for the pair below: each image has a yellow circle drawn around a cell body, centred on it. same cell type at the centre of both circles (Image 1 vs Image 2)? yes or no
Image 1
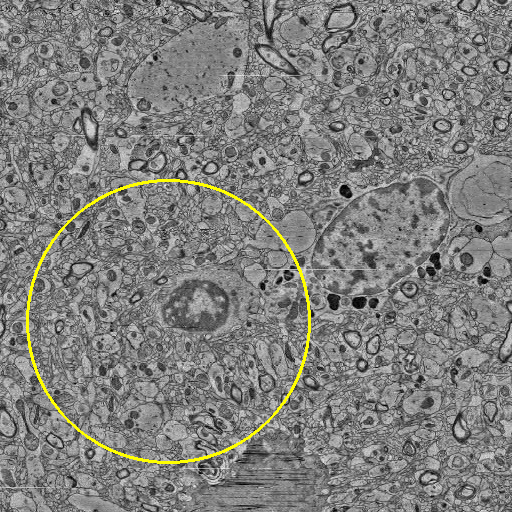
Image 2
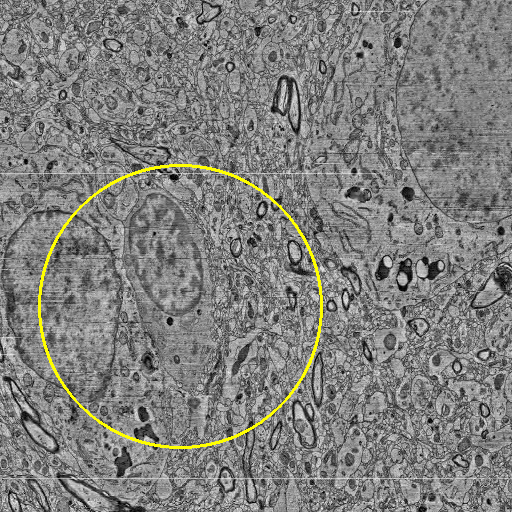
yes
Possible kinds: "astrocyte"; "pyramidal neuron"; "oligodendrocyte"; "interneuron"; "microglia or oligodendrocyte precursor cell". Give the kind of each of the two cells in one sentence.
Each cell at the centre of a ring is an oligodendrocyte.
